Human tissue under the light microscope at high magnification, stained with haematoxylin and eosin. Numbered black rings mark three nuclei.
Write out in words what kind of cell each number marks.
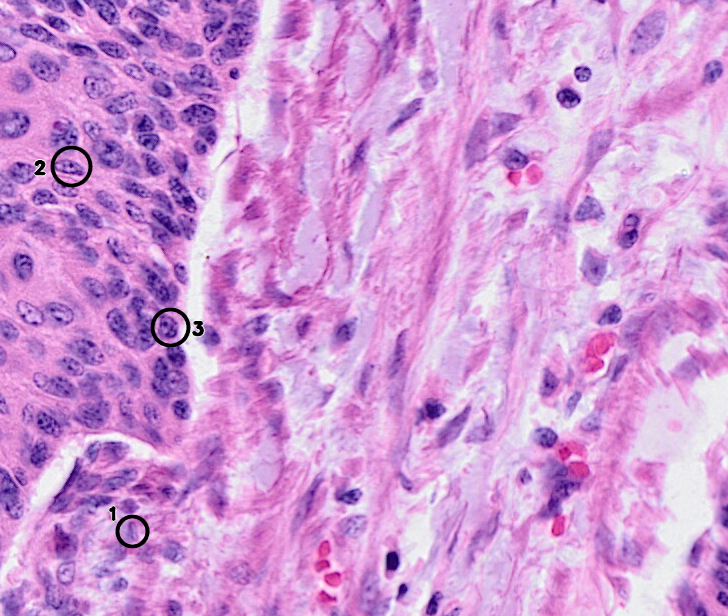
Cell 1 is a fibroblast, cell 2 is a squamous carcinoma cell and cell 3 is a squamous carcinoma cell.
